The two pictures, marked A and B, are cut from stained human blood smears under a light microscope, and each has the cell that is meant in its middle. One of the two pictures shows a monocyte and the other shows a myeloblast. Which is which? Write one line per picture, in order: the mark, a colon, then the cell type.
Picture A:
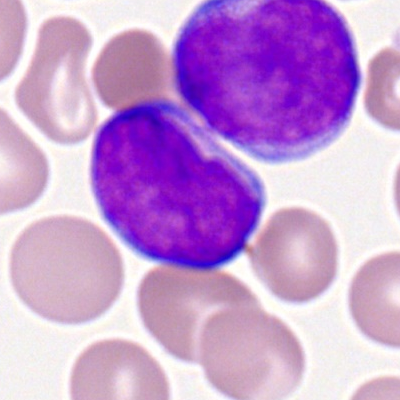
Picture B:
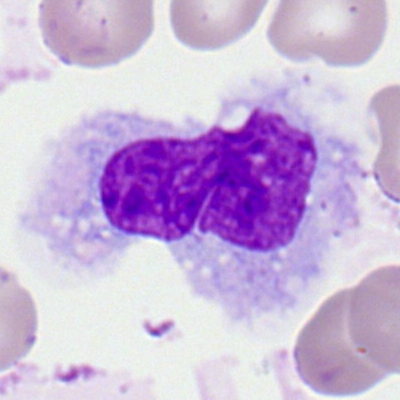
A: myeloblast
B: monocyte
